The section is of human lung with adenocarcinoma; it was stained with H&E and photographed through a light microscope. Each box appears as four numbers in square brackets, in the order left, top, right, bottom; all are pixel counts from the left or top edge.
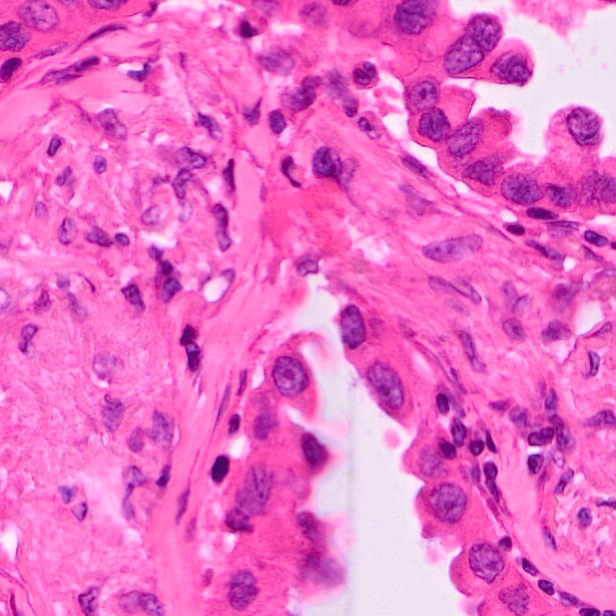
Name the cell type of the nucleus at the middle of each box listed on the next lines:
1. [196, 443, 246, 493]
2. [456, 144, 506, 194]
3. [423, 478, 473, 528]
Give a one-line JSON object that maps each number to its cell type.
{"1": "lymphocyte", "2": "carcinoma cell", "3": "carcinoma cell"}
